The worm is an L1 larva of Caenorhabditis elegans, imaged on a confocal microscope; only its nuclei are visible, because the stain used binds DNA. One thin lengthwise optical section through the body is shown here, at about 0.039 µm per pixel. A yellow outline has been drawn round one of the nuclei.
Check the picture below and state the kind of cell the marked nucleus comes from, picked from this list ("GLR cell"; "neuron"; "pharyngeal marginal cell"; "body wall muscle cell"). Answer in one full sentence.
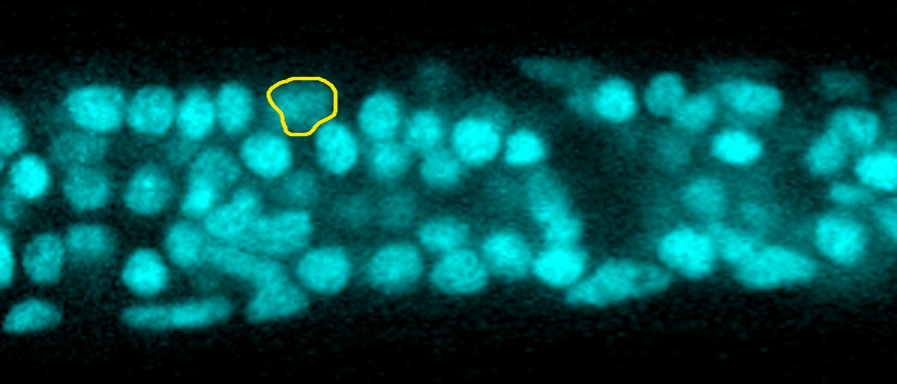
The marked cell is a body wall muscle cell.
